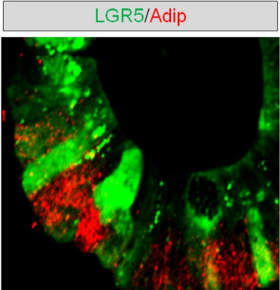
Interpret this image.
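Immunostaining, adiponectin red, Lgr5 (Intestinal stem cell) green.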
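Green-stained cells are interspersed in the epithelial lining, some slender and elongated, others rounder. Fine red puncta fill the cytoplasm of other cells, concentrated in the lower part of the lining. Green and red largely occupy different cells, with little yellow overlap.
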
